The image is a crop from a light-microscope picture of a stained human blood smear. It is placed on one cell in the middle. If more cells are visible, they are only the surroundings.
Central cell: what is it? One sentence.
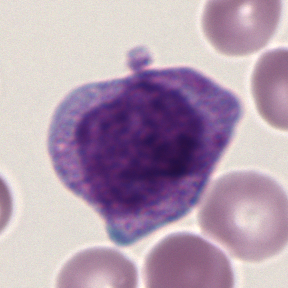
The central cell shown in this smear crop is an atypical promyelocyte.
